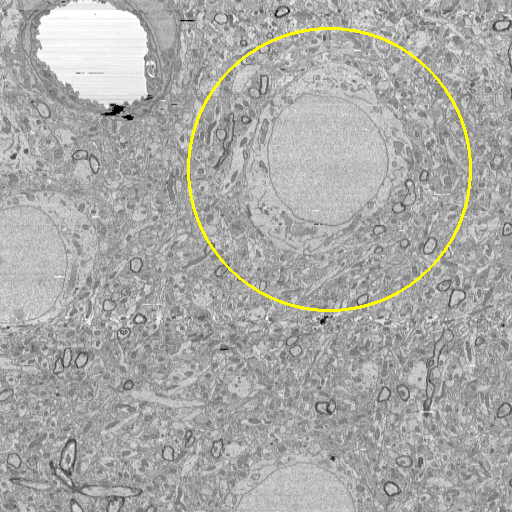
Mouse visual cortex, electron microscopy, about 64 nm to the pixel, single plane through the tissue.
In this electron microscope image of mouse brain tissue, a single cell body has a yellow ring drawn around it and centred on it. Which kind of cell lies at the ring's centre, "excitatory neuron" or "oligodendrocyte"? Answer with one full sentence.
It is an excitatory neuron whose cell body lies at the centre of the yellow ring here.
